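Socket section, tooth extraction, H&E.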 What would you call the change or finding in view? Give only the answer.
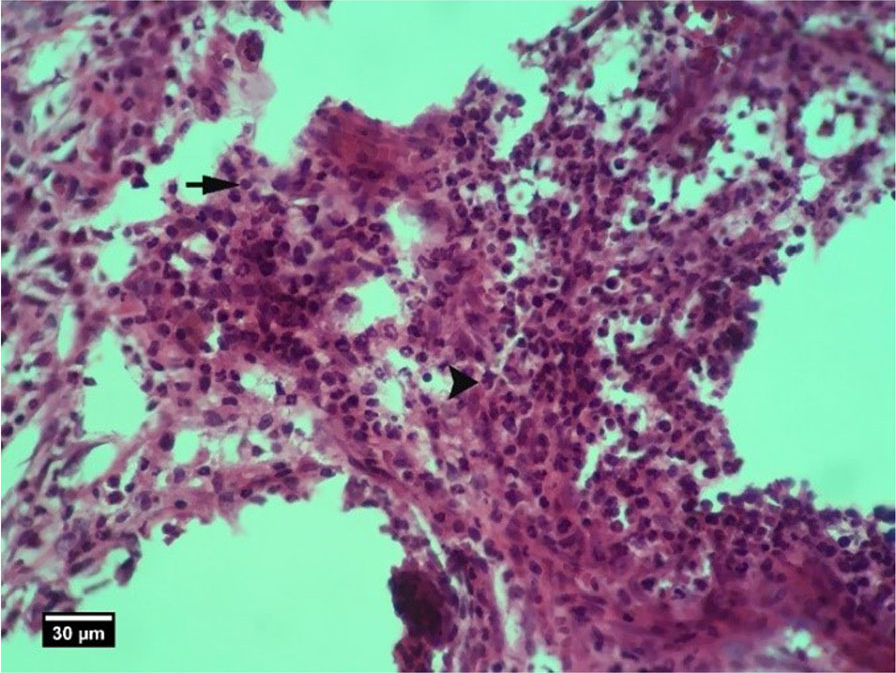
Severe infiltration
